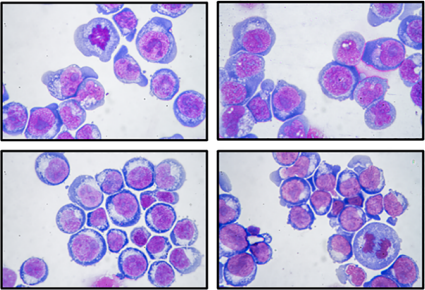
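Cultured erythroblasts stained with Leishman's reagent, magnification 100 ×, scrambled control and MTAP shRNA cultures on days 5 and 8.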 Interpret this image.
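Most cells are large and round, and they lie singly or touching in loose groups. Each has a large, round, purple-pink nucleus with finely granular chromatin that fills most of the cell. The nucleus is surrounded by a narrow rim of deep blue cytoplasm, typical of young, basophilic precursors. In the lower fields the cells are packed more closely and some look a little smaller, and at least one cell shows condensed chromosomes of a dividing cell.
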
